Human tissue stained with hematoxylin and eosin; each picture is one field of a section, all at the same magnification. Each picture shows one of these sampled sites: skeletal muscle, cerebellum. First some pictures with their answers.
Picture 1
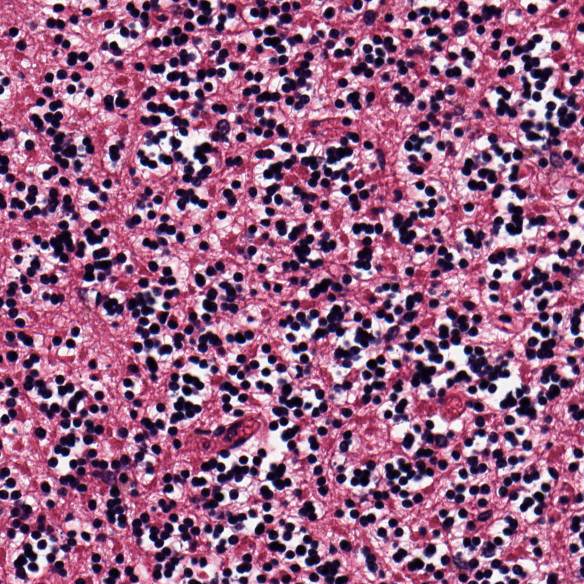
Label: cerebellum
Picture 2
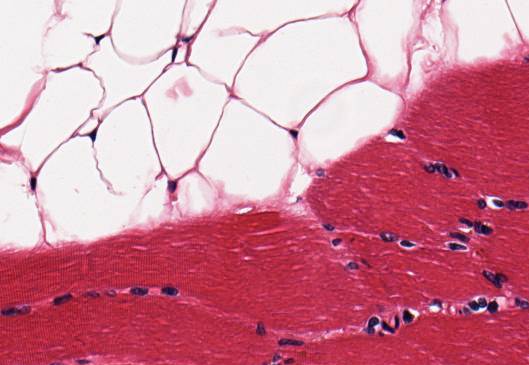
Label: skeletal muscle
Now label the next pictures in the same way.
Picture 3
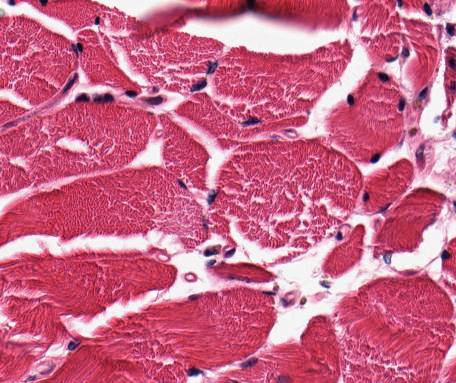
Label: skeletal muscle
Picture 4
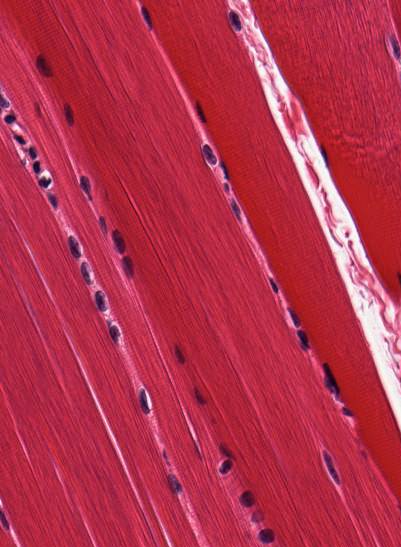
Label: skeletal muscle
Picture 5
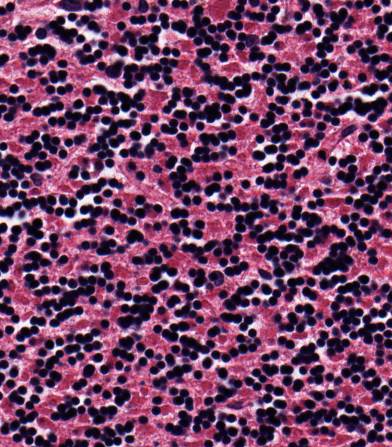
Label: cerebellum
